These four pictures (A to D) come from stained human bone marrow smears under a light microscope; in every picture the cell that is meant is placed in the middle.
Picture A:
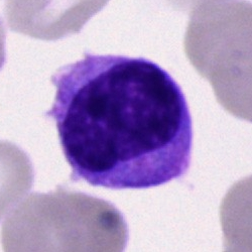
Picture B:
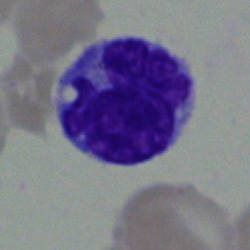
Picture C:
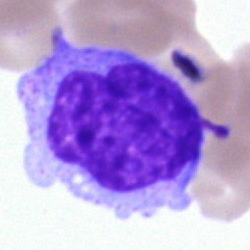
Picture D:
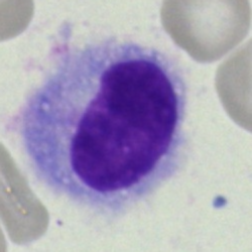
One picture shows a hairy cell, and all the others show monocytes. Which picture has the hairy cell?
D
